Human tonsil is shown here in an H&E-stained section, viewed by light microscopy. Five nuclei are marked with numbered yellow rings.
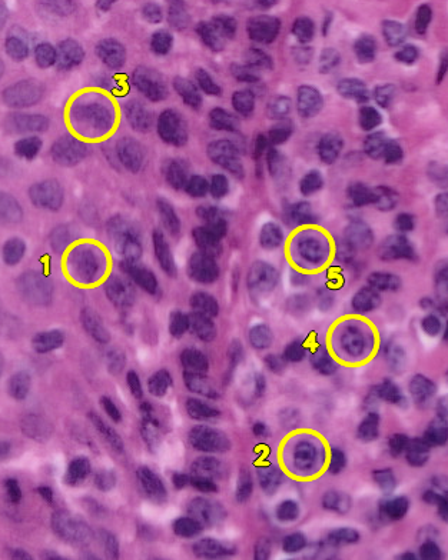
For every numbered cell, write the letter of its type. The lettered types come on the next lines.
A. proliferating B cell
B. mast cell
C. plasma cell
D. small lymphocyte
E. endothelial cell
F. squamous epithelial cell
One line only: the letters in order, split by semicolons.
F; C; F; C; C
